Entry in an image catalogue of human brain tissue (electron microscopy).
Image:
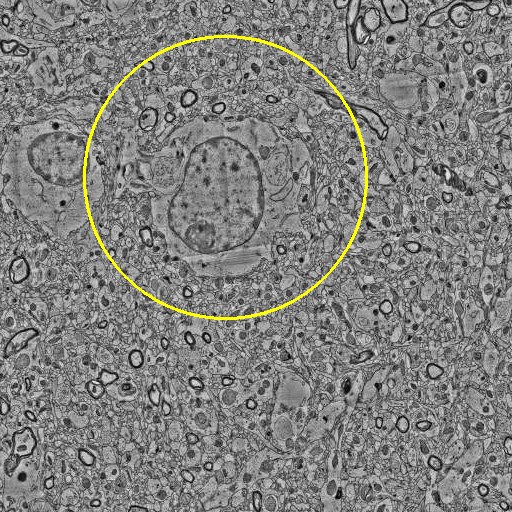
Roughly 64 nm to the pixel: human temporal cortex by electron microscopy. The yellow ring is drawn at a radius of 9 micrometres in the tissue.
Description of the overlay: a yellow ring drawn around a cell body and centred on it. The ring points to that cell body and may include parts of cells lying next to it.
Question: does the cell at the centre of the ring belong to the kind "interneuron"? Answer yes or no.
no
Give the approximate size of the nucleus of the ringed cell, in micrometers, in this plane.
In this plane the nucleus measures roughly 8 by 6 micrometers.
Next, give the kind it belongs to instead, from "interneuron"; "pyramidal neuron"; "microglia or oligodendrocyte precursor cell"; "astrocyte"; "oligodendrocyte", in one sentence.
Instead, the cell at the centre of the ring is an astrocyte.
